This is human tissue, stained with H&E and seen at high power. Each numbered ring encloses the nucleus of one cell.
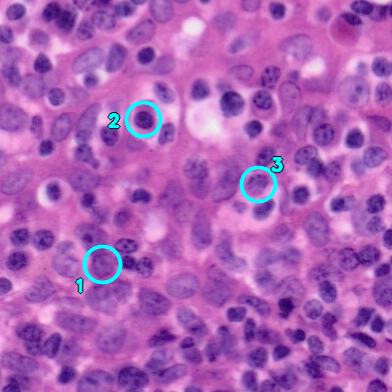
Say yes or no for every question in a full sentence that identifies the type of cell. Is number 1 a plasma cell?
No, the cell labelled 1 is a squamous epithelial cell and not a plasma cell.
